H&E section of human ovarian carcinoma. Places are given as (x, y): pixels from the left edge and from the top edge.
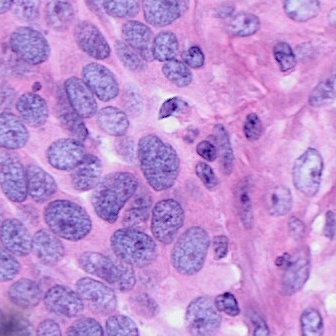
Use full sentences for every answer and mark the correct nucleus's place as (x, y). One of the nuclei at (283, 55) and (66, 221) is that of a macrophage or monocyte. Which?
As for which of the two, the nucleus at (283, 55) belongs to a macrophage or monocyte.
